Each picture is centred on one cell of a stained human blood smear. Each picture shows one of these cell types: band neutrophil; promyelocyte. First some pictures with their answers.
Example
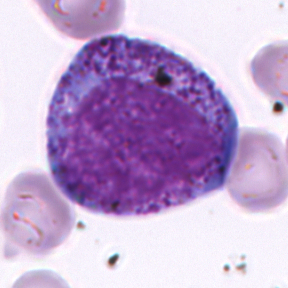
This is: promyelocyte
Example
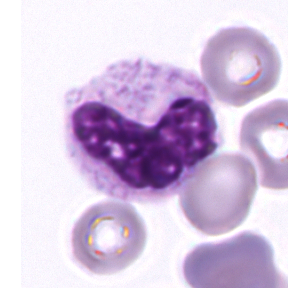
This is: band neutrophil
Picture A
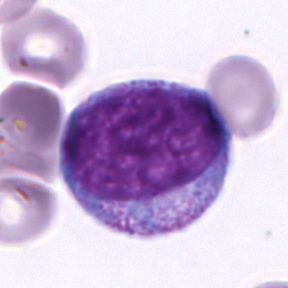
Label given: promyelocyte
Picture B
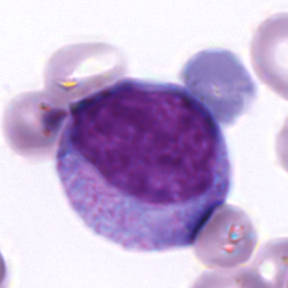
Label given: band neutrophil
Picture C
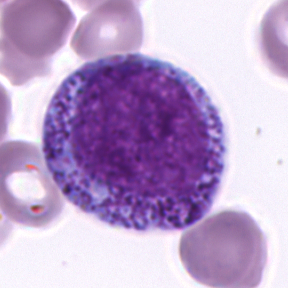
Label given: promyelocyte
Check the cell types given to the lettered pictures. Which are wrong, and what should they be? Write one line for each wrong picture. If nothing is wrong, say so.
B: not band neutrophil but promyelocyte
